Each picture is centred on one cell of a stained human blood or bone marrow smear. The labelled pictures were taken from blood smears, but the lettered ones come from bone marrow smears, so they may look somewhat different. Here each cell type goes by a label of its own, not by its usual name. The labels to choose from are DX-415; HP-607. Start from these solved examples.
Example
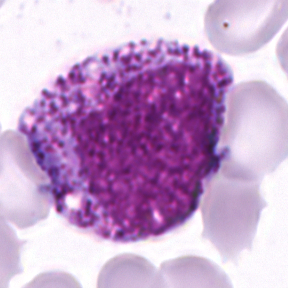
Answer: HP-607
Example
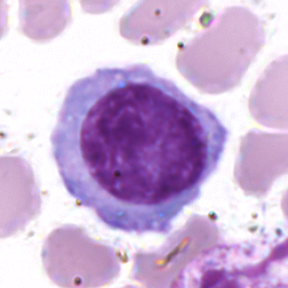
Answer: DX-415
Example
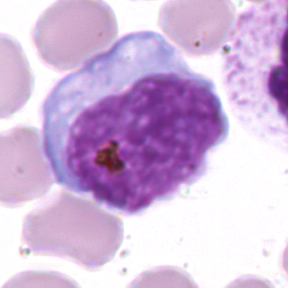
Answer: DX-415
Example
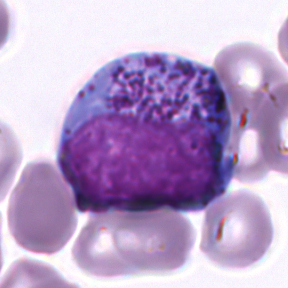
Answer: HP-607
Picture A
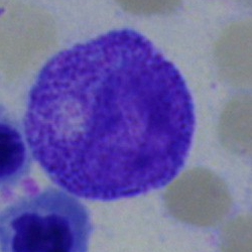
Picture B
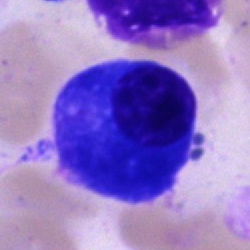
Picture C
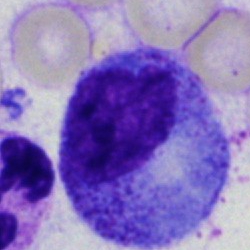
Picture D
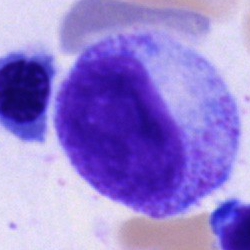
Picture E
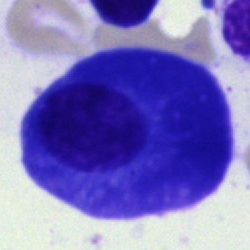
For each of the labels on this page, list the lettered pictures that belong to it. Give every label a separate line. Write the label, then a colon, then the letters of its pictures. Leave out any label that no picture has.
DX-415: B, E
HP-607: A, C, D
